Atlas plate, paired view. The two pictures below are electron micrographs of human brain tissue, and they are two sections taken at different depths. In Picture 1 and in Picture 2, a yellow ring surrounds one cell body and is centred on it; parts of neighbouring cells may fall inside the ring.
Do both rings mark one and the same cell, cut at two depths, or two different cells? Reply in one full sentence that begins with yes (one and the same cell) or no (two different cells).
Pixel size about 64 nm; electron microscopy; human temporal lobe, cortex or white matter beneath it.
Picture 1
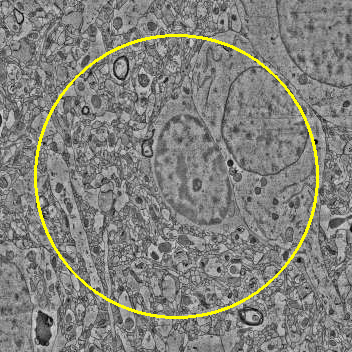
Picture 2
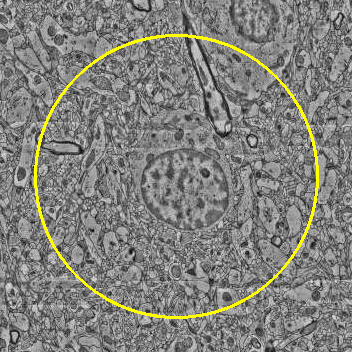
No, the rings mark separate cells, one per ring.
